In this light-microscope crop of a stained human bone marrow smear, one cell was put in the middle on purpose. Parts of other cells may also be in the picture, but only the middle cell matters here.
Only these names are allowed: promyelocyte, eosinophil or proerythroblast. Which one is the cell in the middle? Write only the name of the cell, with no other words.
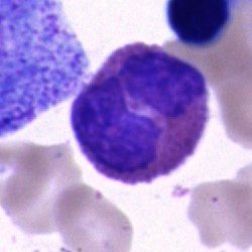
eosinophil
